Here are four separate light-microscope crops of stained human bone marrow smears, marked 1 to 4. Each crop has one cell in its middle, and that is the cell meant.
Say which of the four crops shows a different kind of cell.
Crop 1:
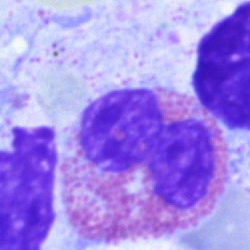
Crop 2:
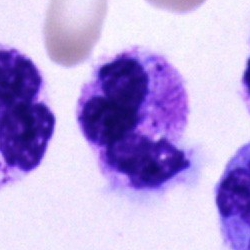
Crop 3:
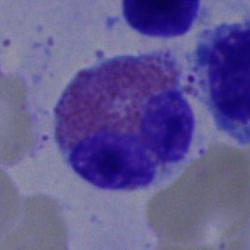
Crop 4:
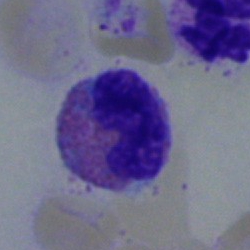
2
